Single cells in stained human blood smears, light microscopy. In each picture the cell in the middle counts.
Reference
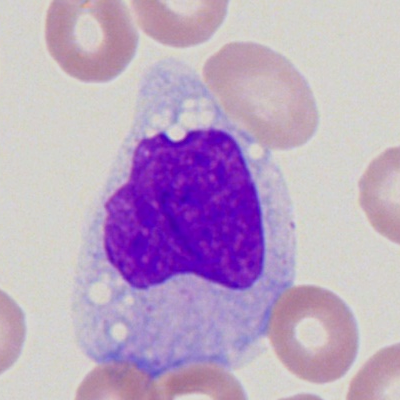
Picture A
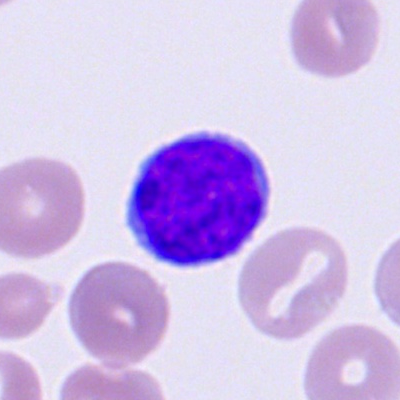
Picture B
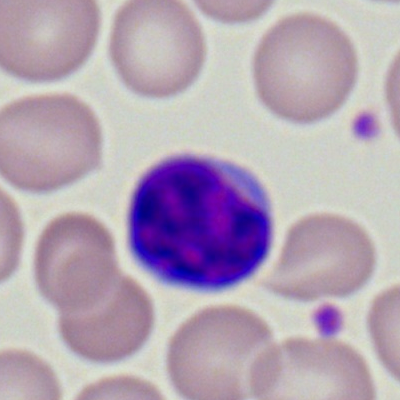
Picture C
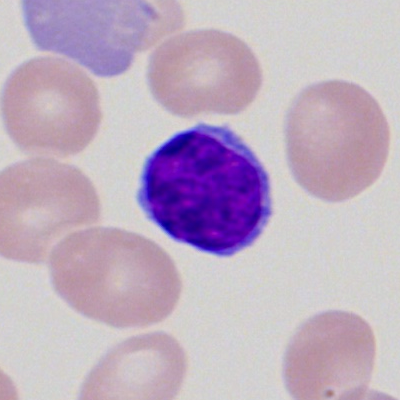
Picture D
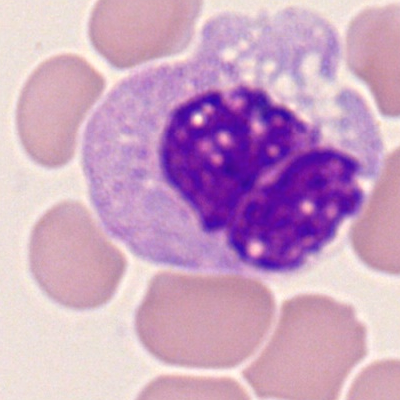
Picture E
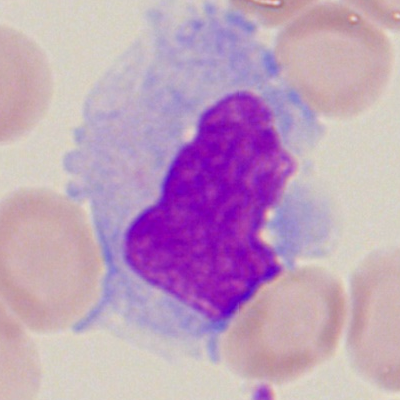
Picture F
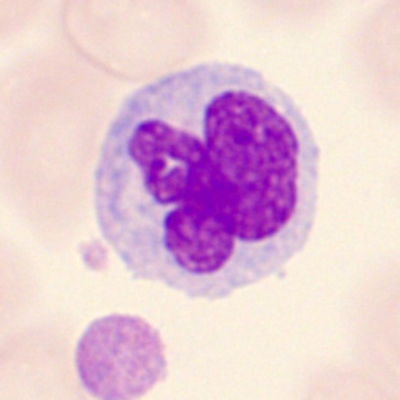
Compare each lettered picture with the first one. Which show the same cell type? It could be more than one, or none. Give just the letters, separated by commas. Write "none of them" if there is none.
D, E, F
